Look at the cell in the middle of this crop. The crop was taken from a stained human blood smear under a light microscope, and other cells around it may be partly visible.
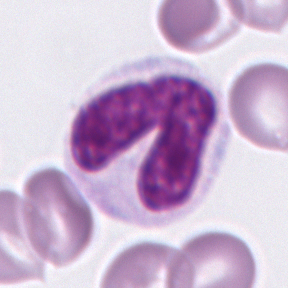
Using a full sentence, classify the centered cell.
In short, the cell at the center is a band neutrophil.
